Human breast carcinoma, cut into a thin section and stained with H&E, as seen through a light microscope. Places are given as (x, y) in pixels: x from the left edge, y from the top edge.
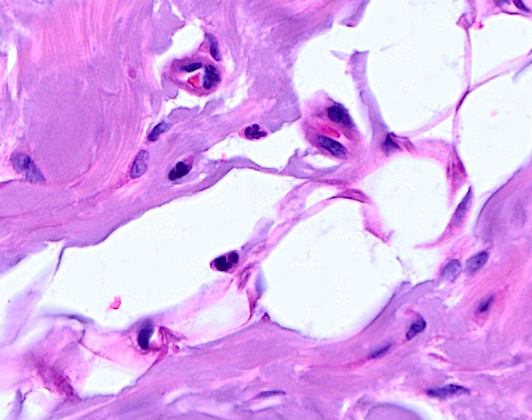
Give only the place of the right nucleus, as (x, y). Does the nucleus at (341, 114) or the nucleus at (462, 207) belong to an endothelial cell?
(341, 114)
